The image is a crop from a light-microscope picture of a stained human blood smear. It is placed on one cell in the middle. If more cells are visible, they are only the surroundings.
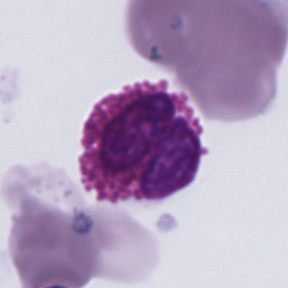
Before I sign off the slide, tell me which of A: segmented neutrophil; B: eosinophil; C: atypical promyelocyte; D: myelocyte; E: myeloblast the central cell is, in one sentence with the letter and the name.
That cell in the center is an eosinophil, hence option B.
